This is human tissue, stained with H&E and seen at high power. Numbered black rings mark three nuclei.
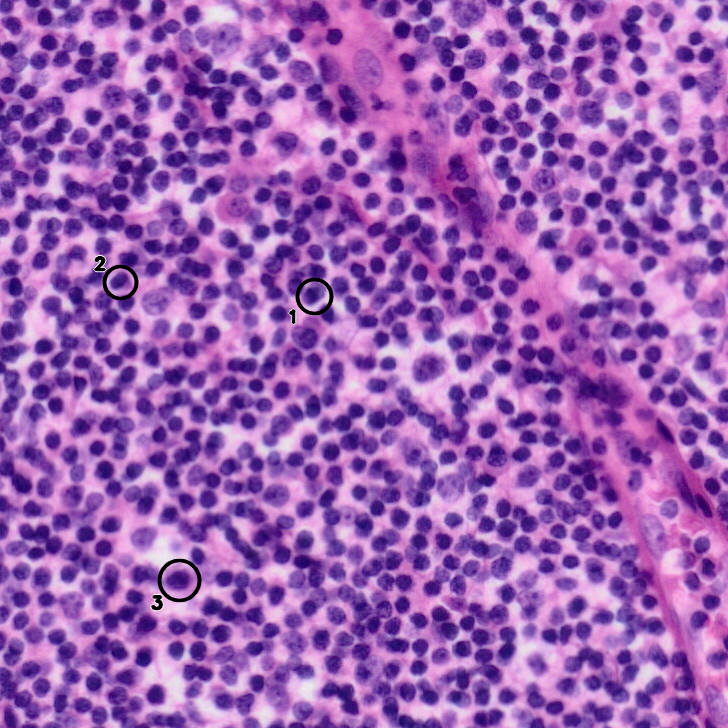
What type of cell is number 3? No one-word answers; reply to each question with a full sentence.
The correct answer for cell 3 is a proliferating B cell.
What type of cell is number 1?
The cell carrying label 1 is identified as a small lymphocyte.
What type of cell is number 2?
The cell identified by number 2 is a small lymphocyte.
